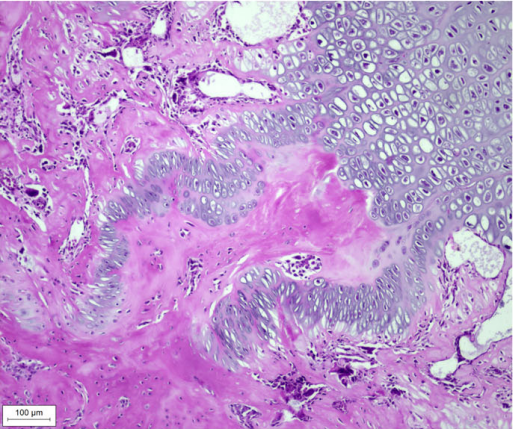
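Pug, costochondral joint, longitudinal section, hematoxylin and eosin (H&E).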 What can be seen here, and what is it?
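Cartilage at a site of bone growth, with large hypertrophic chondrocytes in rounded clear lacunae set in pale blue-grey matrix at the upper right. Tongue-like bands of this cartilage reach down and to the left into pink bony tissue, where small vascular spaces with dark nuclei lie between the trabeculae.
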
